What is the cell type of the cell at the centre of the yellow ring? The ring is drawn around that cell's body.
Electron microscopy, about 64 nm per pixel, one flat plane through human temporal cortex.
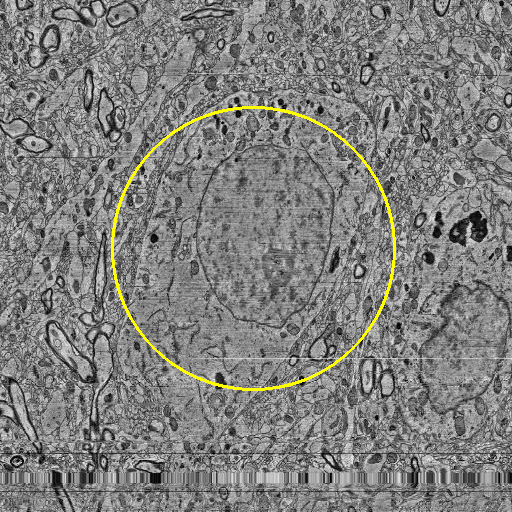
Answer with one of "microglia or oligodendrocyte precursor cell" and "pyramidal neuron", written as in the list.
pyramidal neuron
